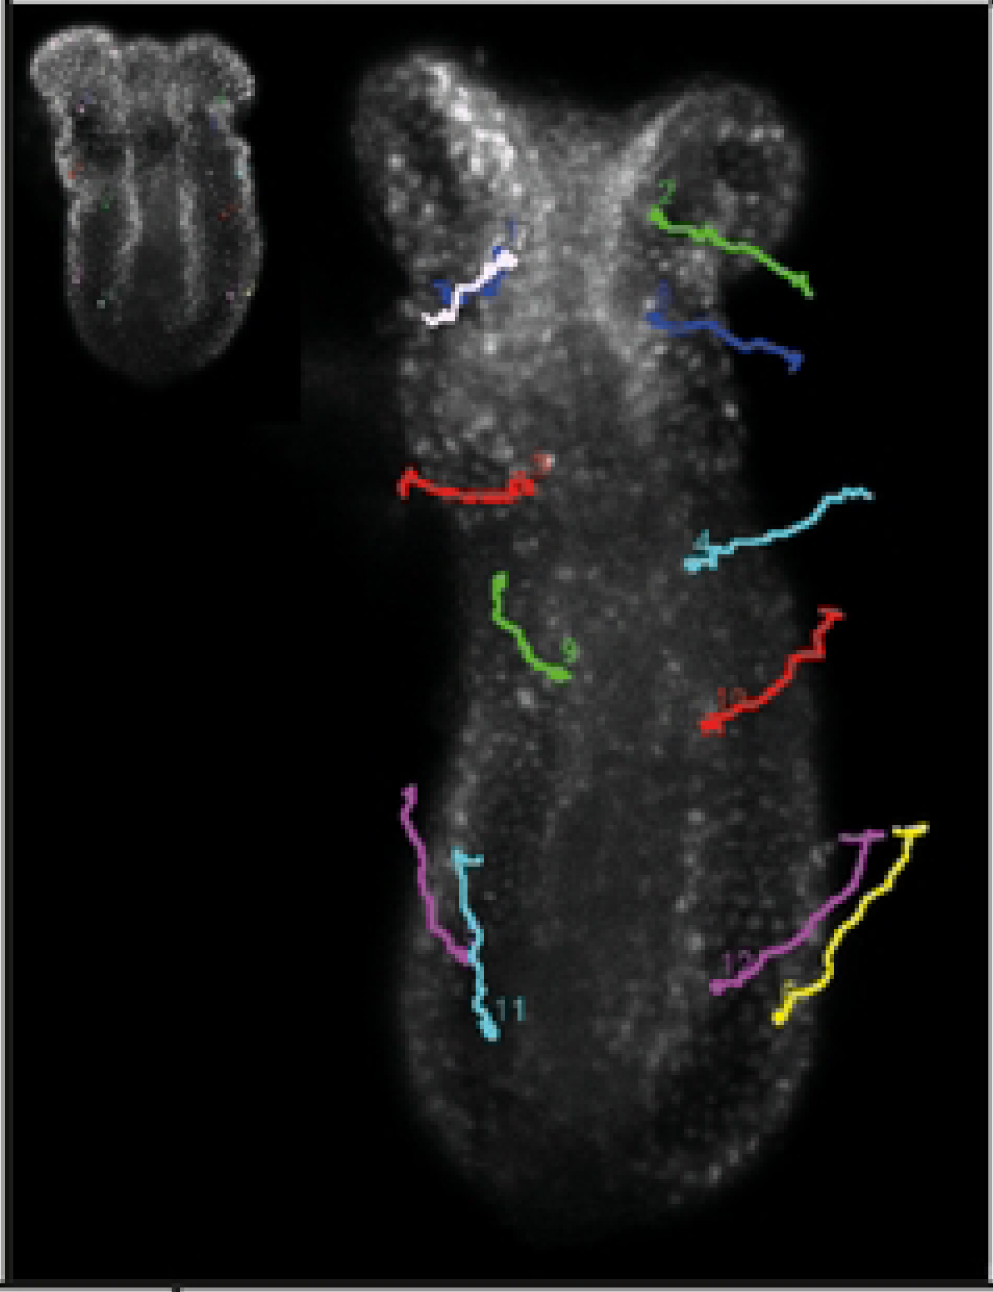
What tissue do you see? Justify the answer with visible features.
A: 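Germband. An elongated embryonic body with two rounded lobes at one end. The body is densely packed with small bright dots.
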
